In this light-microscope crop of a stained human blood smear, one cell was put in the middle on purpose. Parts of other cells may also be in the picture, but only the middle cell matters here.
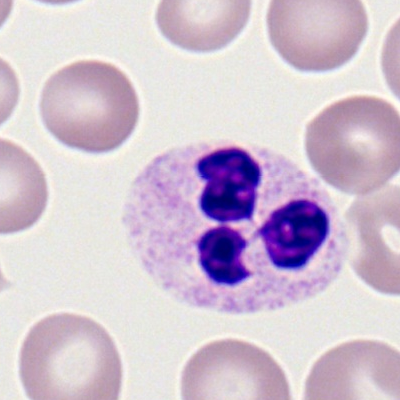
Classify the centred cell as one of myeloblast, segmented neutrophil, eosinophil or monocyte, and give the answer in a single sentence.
Positioned in the middle of the crop is a segmented neutrophil.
